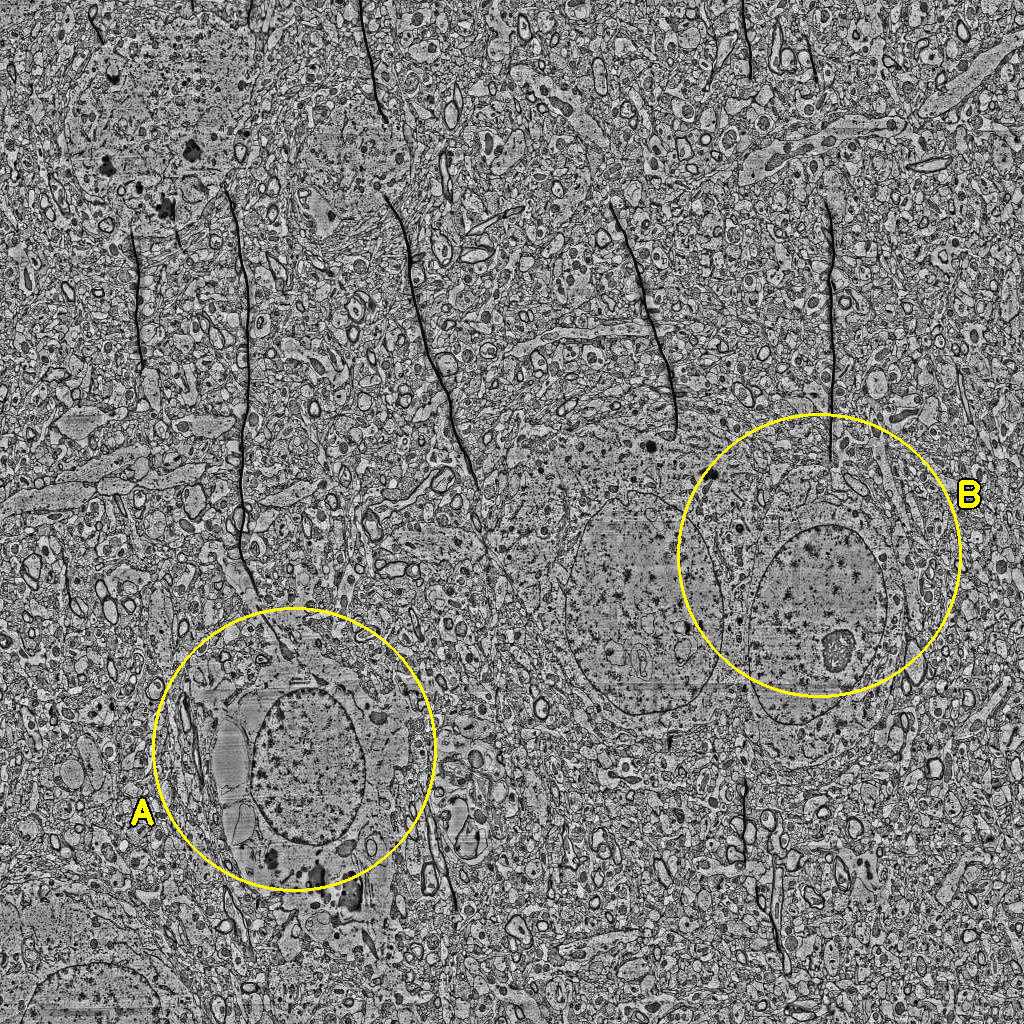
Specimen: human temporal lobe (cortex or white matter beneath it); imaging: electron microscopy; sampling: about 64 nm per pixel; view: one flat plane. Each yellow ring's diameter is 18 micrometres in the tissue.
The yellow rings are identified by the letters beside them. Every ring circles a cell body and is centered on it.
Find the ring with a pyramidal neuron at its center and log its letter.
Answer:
B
